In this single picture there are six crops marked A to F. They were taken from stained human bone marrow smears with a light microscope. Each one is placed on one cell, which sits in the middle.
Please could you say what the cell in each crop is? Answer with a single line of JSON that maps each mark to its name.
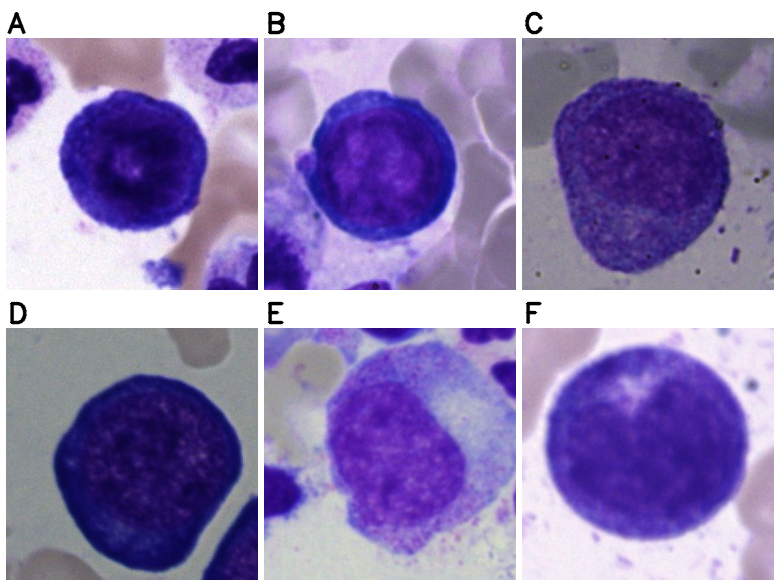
{"A": "proerythroblast", "B": "proerythroblast", "C": "promyelocyte", "D": "proerythroblast", "E": "promyelocyte", "F": "promyelocyte"}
